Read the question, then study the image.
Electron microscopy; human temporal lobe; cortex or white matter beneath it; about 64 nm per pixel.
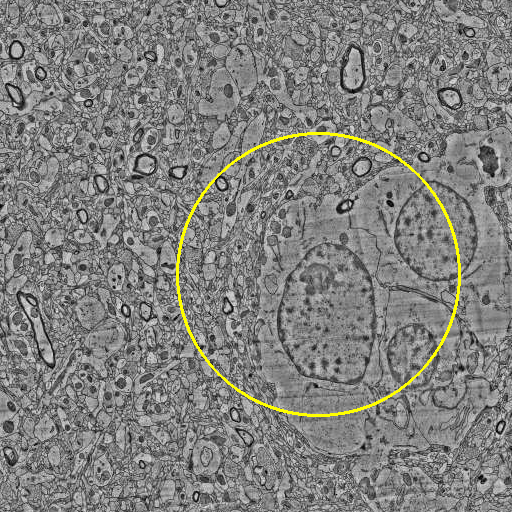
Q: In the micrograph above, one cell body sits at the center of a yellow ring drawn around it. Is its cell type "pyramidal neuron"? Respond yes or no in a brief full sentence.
No, its cell type is another one.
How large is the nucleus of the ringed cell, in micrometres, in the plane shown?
The nucleus has a long axis of about 9 micrometres and a short axis of about 6 micrometres in this plane.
